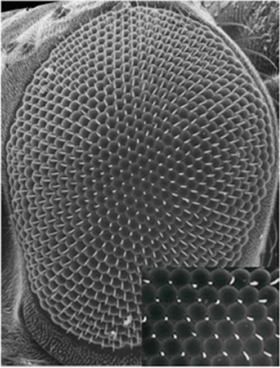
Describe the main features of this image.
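This is the surface of a fly compound eye, made of hundreds of small, uniform, dome-shaped facets (ommatidia) packed in a highly ordered lattice. The facets are of even size and lie in regular rows that curve across the oval eye. Fine hair-like bristles project at regular intervals between the facets, as seen enlarged in the inset at the lower right. The surrounding head cuticle is visible at the edges of the eye.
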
